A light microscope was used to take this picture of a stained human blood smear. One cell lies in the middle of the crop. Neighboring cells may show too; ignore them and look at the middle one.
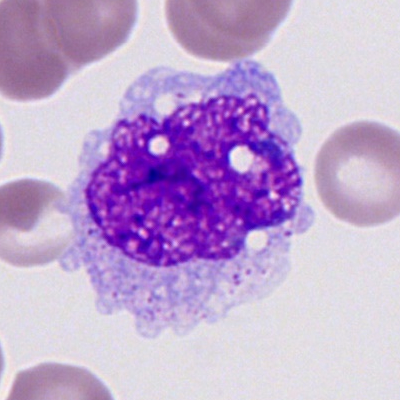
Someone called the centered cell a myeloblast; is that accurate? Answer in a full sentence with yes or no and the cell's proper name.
No, the middle cell is not a myeloblast, it being a monocyte.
